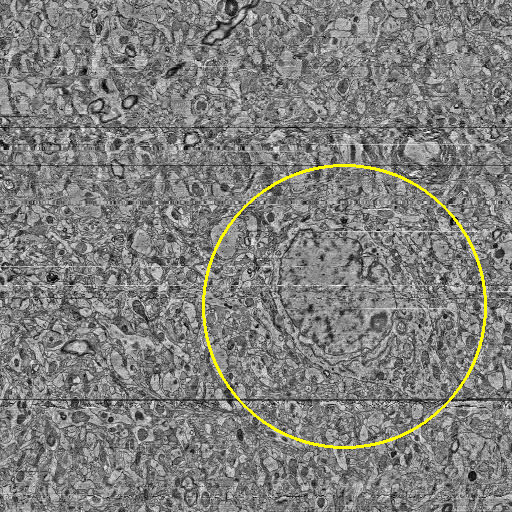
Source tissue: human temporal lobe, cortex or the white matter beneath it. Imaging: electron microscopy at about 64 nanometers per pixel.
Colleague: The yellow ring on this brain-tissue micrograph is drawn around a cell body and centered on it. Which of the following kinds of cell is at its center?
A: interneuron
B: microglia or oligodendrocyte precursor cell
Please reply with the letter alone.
A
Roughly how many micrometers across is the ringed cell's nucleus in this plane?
Approximately 9 by 7 micrometers in this plane.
